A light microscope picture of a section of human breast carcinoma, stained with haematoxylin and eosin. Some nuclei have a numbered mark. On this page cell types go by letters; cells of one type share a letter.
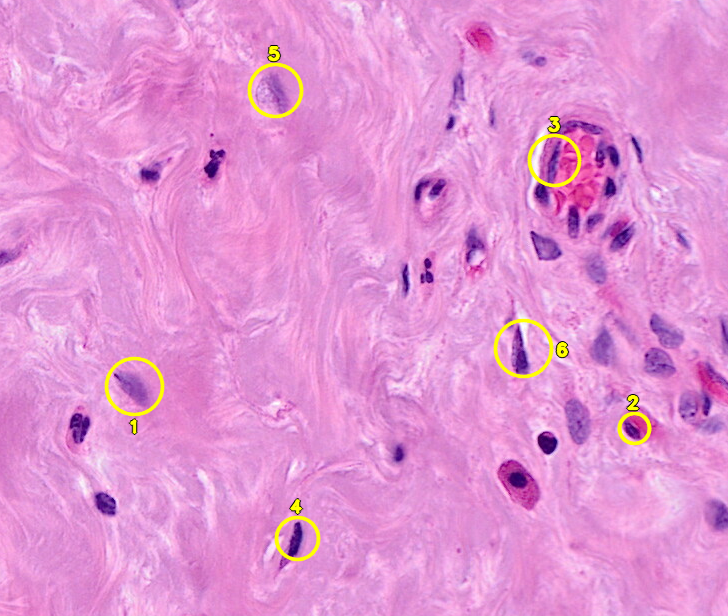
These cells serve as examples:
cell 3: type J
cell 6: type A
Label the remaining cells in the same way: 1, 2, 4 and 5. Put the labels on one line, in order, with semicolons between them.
type A; type J; type A; type A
